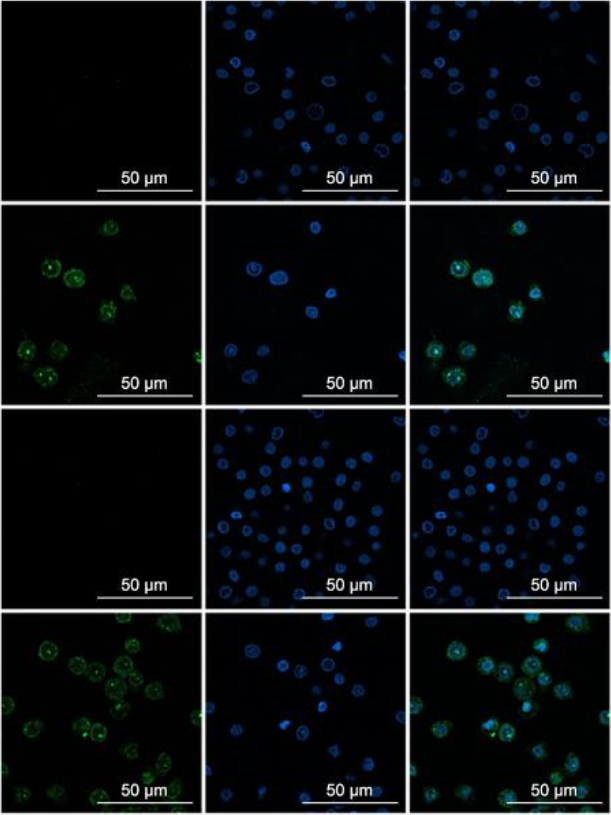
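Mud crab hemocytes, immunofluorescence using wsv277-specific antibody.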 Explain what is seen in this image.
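The nuclei are small, round and blue. In some rows most cells show a green rim that follows the edge of the nucleus, often with one or a few bright green dots inside or beside it, so the cells look like green rings around blue centres in the merged images. In the other rows the green channel is dark and only the blue nuclei appear, with the cells lying more densely in one field. Cell sizes and shapes are fairly uniform, mostly round.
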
